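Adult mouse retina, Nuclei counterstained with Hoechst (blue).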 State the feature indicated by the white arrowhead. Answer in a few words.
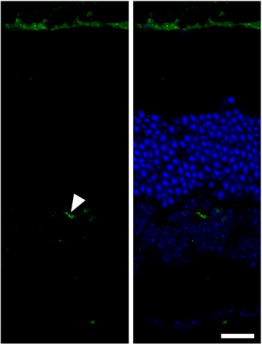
Blood vessels.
